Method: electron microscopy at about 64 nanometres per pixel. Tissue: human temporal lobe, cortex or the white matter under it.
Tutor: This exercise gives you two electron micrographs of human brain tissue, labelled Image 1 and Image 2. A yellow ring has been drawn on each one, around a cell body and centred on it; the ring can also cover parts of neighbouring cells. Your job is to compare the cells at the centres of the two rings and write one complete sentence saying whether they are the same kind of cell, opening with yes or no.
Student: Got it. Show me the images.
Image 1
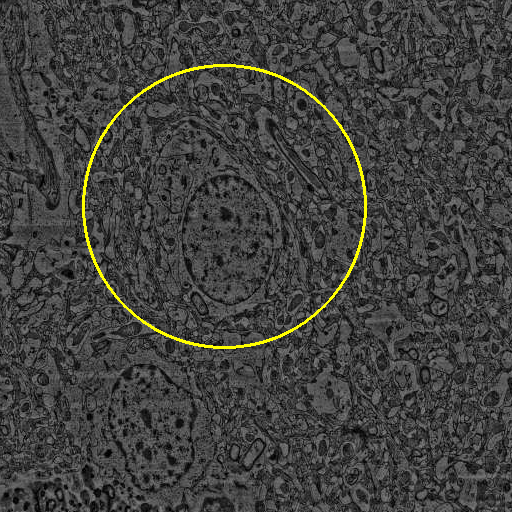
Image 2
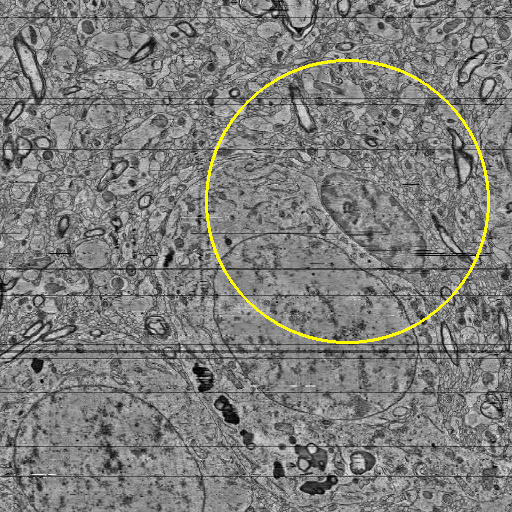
No, the two cells belong to two kinds.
